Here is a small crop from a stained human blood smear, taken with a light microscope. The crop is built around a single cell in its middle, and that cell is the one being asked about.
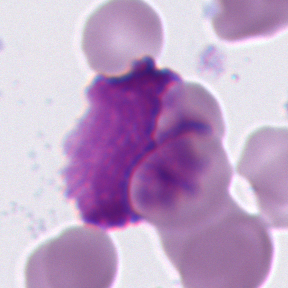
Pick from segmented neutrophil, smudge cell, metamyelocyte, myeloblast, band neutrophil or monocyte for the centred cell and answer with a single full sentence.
The cell of interest, in the center, is a smudge cell.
